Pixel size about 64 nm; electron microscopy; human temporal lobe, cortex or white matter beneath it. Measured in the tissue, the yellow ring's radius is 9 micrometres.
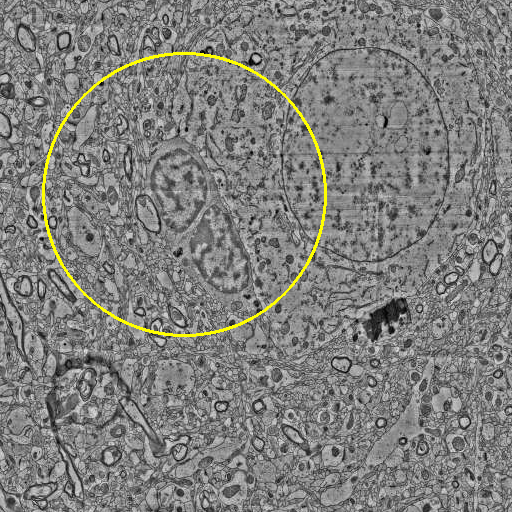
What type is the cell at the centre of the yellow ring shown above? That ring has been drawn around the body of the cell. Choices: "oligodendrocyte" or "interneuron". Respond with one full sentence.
My answer is that an oligodendrocyte lies at the centre of the yellow ring above.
